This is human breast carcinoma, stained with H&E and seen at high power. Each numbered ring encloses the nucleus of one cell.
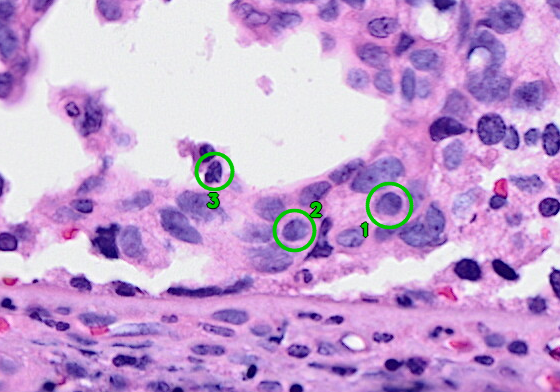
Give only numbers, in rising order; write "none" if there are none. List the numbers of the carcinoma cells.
1, 2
